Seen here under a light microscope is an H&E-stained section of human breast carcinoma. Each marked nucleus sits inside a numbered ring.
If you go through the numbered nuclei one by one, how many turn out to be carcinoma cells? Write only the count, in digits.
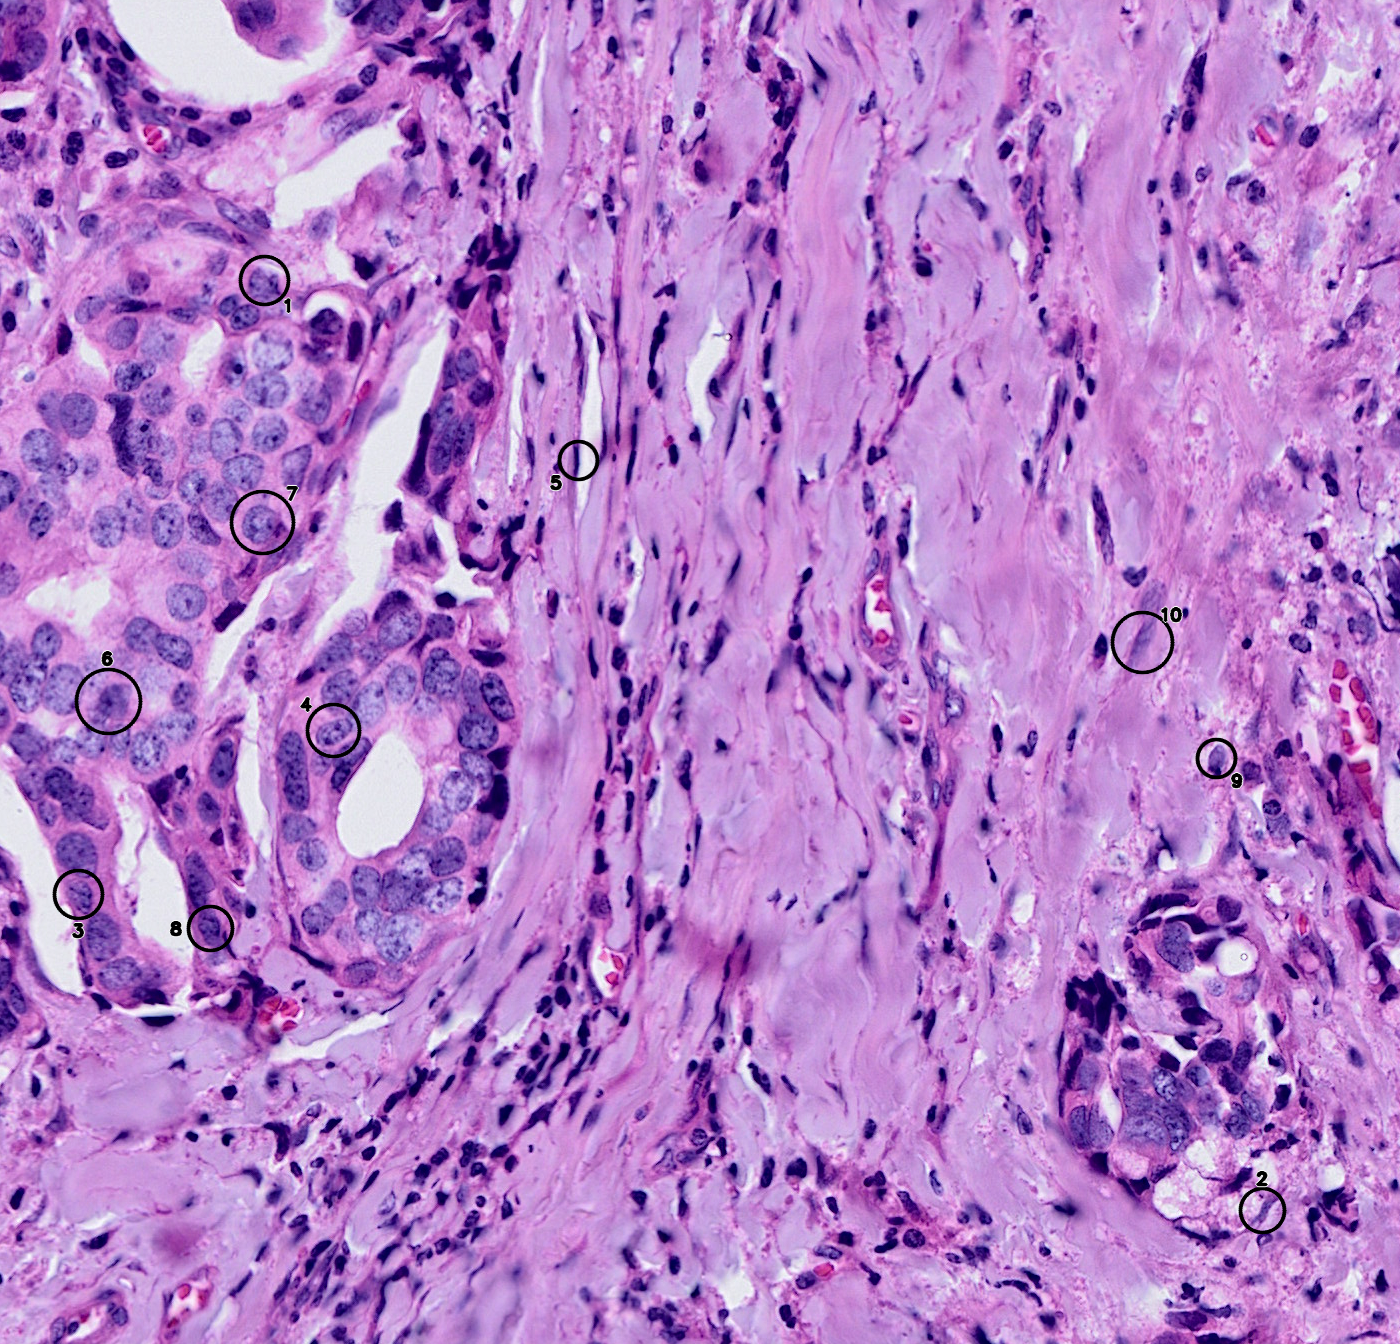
6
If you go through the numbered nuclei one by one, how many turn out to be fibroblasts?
3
